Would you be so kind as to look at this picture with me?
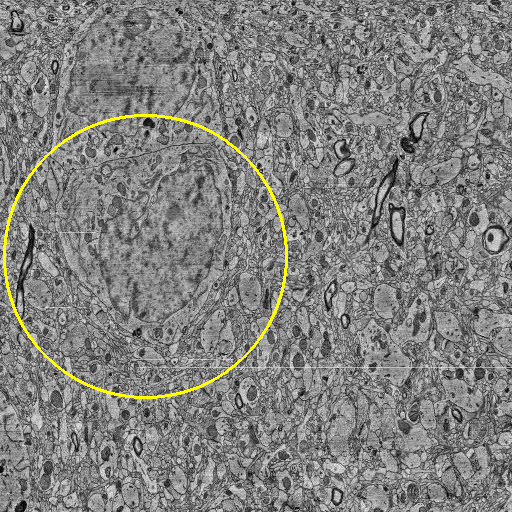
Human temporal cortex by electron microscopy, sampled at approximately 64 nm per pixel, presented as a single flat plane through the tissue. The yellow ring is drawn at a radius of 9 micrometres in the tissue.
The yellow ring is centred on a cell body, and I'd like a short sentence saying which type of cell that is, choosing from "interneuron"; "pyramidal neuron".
The cell body in the ring belongs to an interneuron.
